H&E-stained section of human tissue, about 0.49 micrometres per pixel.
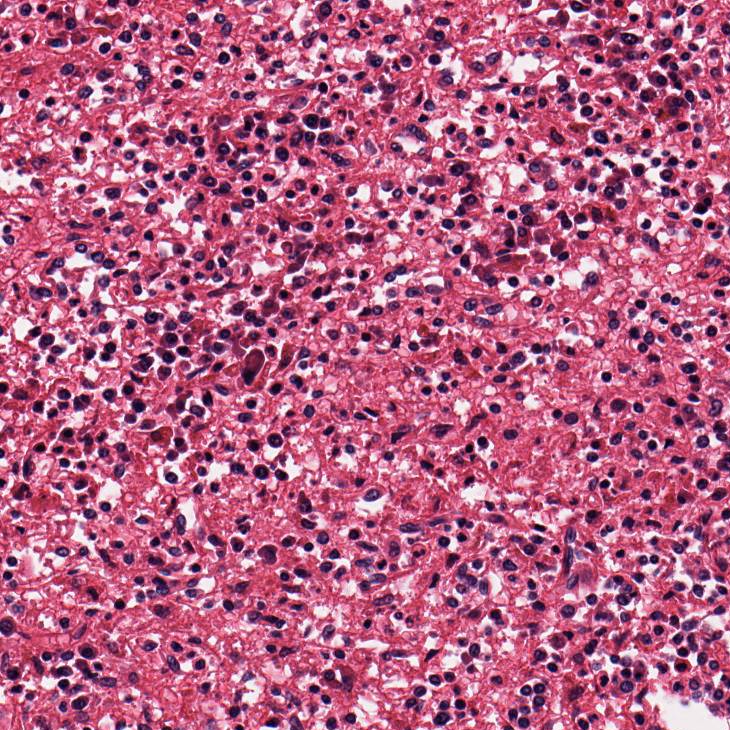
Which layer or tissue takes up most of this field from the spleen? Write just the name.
red pulp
